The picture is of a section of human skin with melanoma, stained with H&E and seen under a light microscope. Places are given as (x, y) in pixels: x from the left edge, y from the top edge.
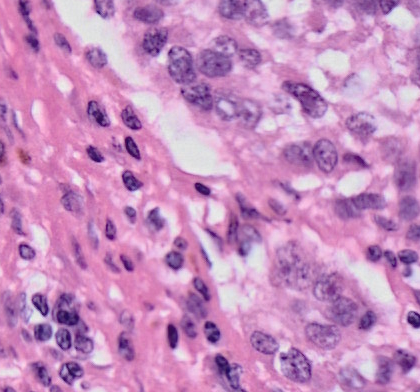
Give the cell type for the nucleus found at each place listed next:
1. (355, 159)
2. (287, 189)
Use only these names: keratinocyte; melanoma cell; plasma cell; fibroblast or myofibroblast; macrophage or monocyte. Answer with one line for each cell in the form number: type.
1: melanoma cell
2: fibroblast or myofibroblast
